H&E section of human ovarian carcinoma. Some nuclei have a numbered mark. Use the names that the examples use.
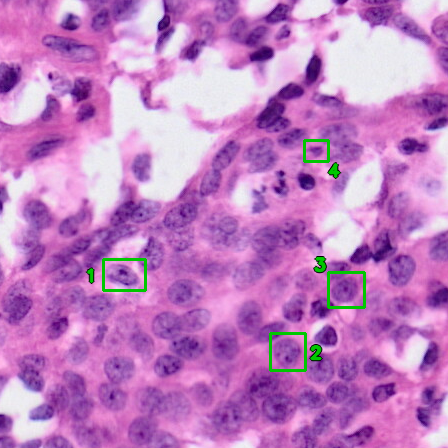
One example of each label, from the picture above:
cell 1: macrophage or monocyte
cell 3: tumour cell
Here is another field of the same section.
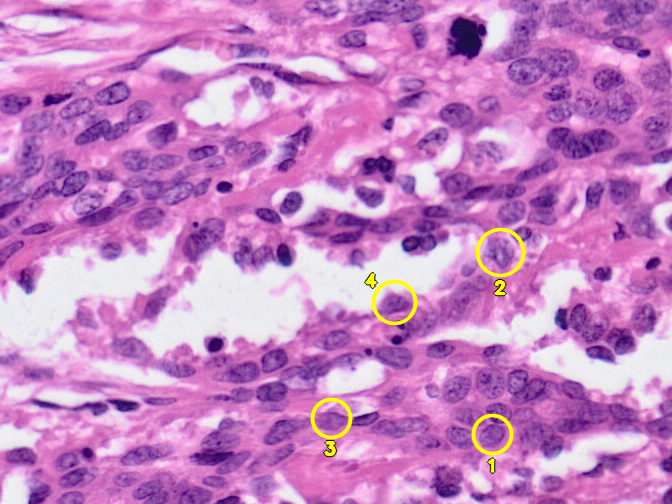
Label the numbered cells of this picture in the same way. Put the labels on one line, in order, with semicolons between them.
tumour cell; macrophage or monocyte; tumour cell; tumour cell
